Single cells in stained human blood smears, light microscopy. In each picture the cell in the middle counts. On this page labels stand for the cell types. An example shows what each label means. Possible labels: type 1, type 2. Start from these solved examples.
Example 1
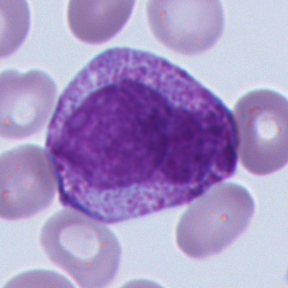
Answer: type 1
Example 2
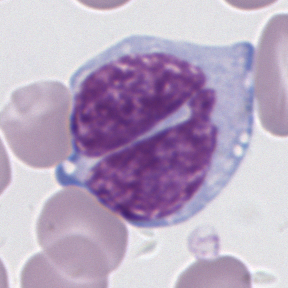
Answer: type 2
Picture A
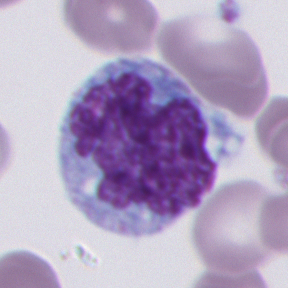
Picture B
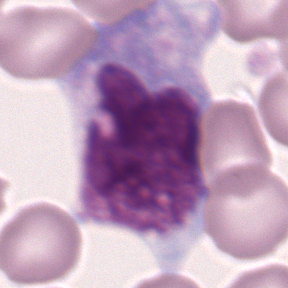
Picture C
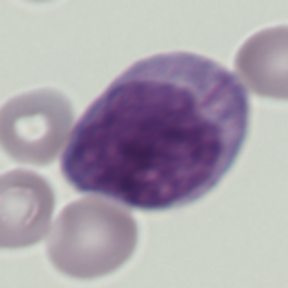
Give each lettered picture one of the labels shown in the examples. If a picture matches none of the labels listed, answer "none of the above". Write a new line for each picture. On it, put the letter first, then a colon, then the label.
A: none of the above
B: none of the above
C: type 1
